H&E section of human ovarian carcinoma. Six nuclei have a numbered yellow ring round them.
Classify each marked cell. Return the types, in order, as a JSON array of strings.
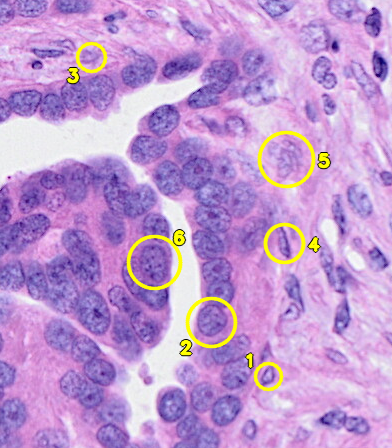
["fibroblast", "carcinoma cell", "fibroblast", "fibroblast", "fibroblast", "carcinoma cell"]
